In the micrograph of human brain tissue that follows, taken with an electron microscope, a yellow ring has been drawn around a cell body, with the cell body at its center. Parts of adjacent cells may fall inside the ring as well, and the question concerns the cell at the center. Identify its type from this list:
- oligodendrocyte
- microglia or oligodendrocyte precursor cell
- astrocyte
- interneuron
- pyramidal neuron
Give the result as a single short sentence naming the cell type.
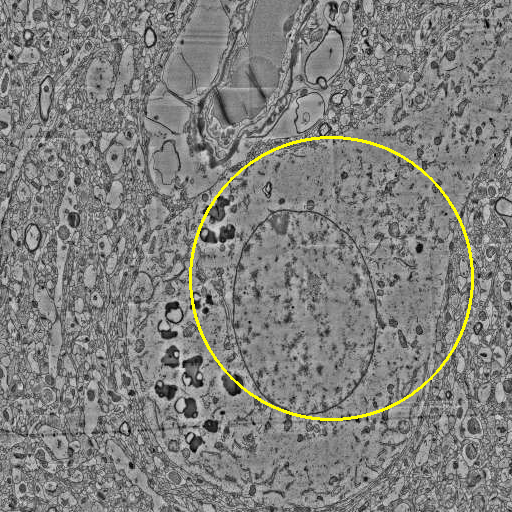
The ring is centered on a pyramidal neuron.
